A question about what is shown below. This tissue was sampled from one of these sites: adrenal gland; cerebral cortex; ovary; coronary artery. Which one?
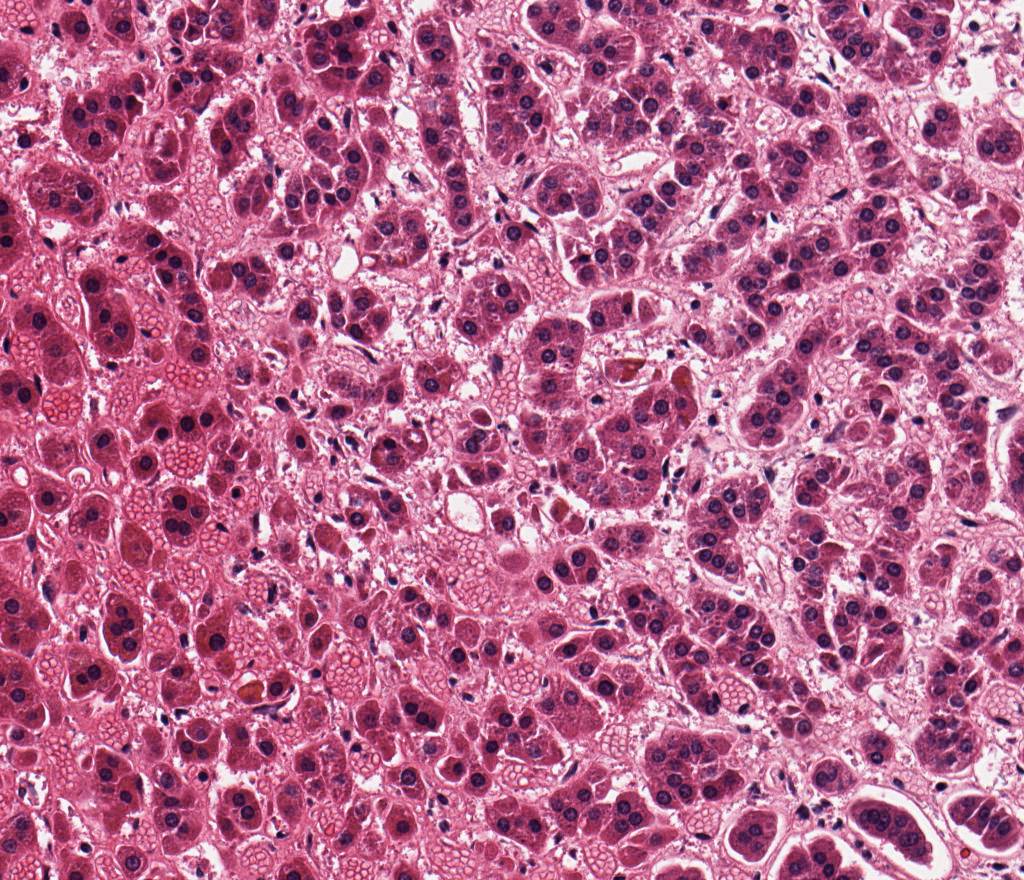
adrenal gland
